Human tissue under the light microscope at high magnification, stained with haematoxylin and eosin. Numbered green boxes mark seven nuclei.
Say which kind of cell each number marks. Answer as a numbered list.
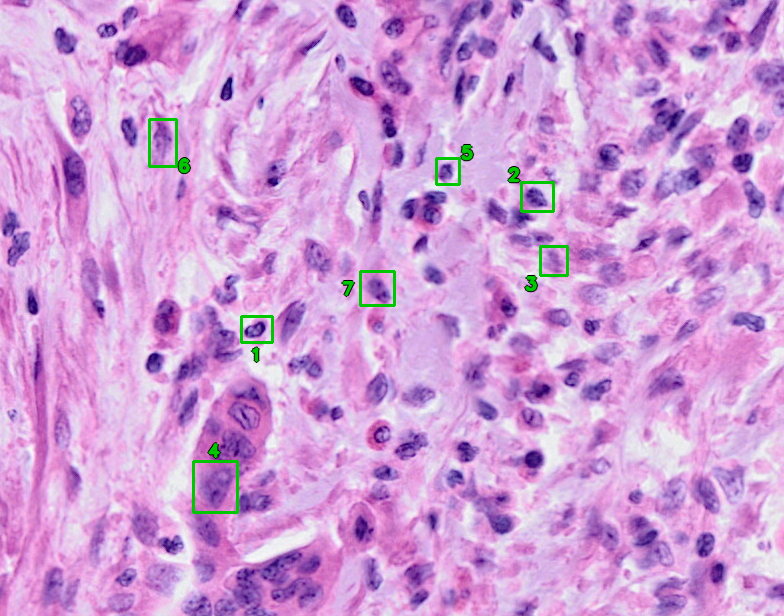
1. lymphocyte
2. lymphocyte
3. fibroblast
4. squamous carcinoma cell
5. lymphocyte
6. fibroblast
7. macrophage or monocyte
